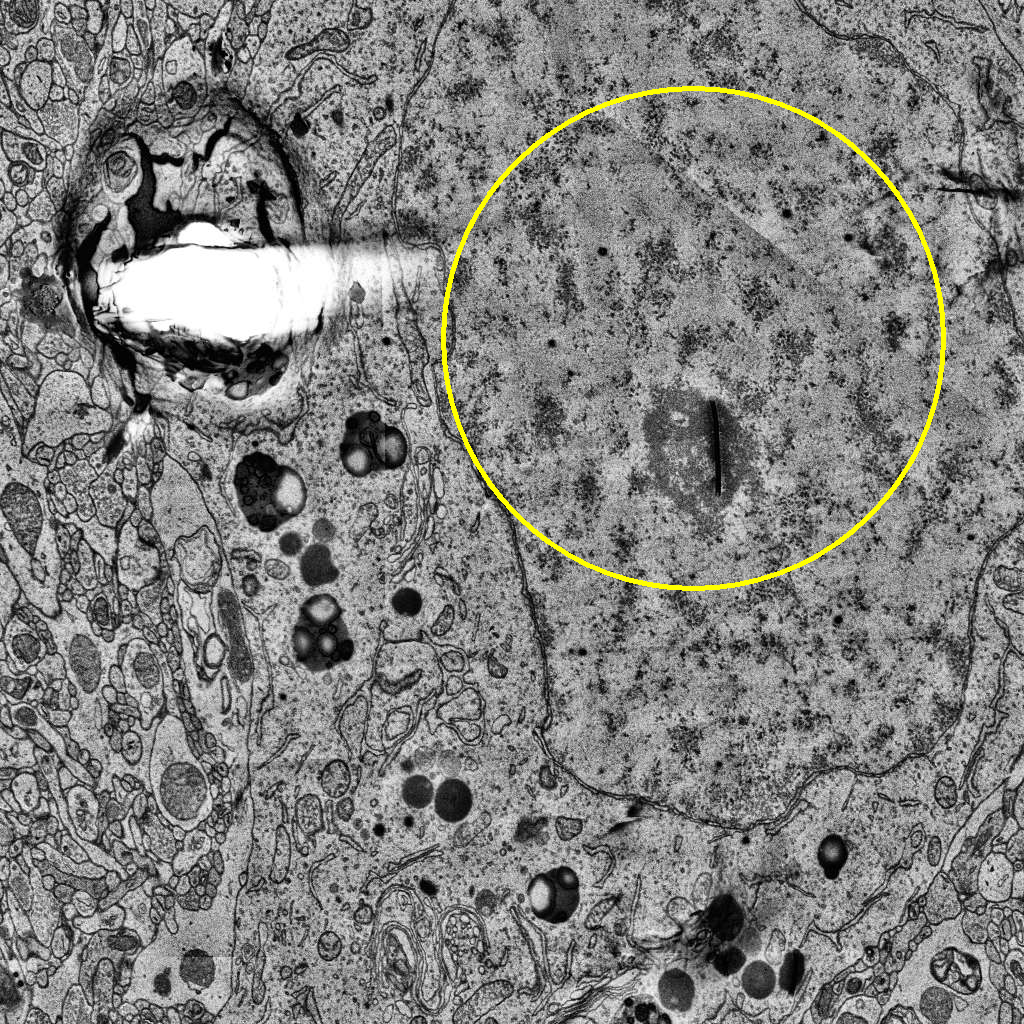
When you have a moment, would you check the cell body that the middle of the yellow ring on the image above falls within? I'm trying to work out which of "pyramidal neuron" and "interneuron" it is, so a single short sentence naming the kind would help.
This cell body belongs to an interneuron.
